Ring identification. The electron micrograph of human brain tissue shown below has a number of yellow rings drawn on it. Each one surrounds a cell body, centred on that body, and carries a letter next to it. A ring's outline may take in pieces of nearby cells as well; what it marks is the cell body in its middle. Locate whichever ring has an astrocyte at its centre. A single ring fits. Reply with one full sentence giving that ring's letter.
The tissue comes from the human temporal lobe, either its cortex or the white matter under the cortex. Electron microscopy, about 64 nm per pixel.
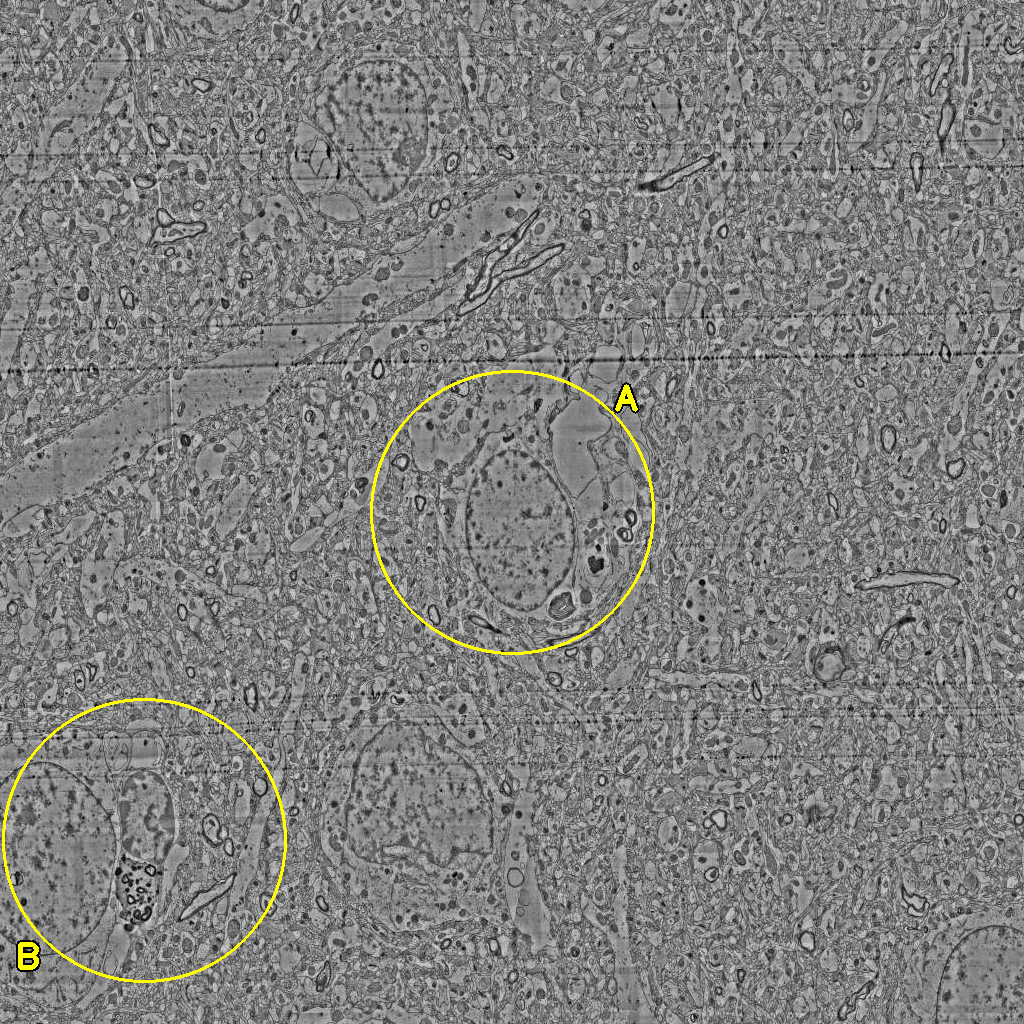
The letter A belongs to the ring centred on a cell of that kind.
